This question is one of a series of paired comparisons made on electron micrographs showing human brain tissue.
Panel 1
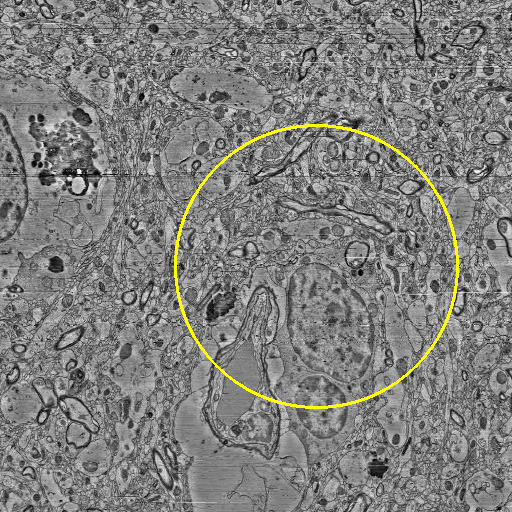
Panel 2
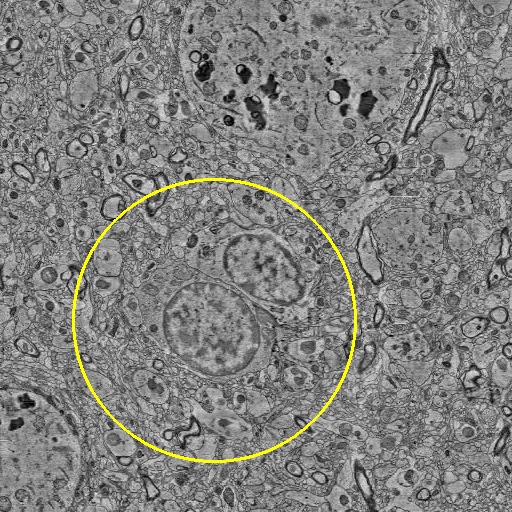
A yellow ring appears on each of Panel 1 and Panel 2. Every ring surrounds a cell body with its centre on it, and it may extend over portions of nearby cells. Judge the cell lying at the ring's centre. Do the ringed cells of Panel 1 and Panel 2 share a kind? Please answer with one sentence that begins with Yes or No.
Yes, the ring-centre cell in Panel 1 and the one in Panel 2 are of one kind.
